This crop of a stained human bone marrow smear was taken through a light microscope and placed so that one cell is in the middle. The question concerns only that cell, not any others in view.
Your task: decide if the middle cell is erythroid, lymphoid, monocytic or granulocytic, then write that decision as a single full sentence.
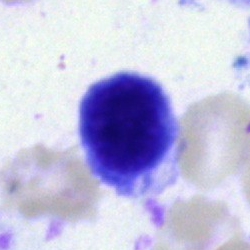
As for the middle cell, it is a member of the lymphoid lineage.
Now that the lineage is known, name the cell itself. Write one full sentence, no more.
The cell in the middle of the field of view is a lymphocyte.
